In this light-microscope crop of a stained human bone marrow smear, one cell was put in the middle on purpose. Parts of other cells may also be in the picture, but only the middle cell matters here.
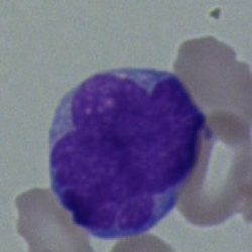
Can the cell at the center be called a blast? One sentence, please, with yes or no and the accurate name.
Yes, the middle cell here is a blast.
